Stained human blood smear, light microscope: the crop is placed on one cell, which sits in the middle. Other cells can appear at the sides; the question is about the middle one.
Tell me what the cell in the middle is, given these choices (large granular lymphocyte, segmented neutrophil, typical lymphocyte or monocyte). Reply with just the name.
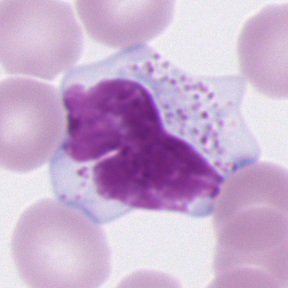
large granular lymphocyte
